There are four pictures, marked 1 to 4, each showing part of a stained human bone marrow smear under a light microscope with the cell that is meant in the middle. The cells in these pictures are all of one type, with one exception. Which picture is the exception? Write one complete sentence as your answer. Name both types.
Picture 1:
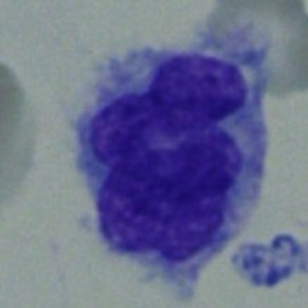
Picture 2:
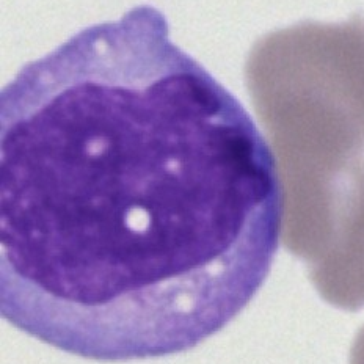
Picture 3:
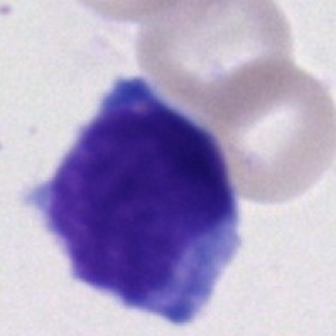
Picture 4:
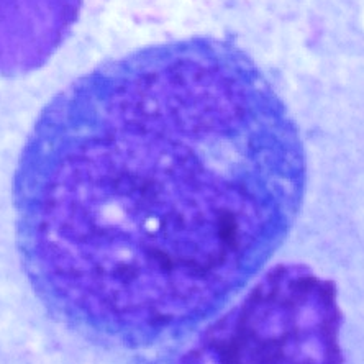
Picture 3 is the odd one out: it shows a lymphocyte, while the others show monocytes.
